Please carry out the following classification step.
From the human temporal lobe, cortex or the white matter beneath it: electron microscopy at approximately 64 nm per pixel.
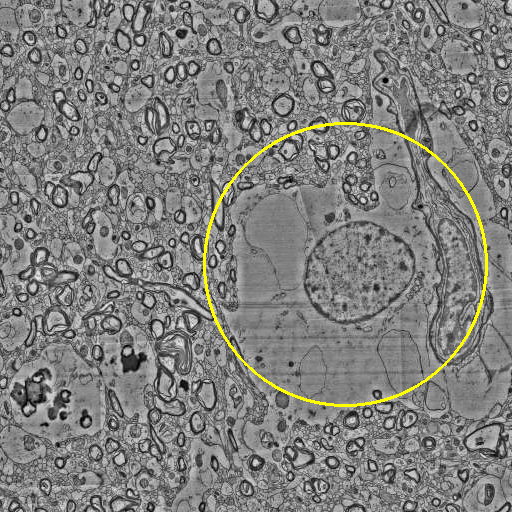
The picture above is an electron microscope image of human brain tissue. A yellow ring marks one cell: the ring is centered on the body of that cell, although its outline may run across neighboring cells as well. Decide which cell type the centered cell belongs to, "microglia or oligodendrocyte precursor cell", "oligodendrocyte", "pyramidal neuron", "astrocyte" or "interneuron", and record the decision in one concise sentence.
The cell centered in the yellow ring is an astrocyte.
